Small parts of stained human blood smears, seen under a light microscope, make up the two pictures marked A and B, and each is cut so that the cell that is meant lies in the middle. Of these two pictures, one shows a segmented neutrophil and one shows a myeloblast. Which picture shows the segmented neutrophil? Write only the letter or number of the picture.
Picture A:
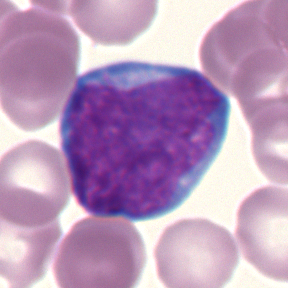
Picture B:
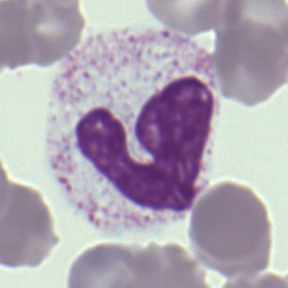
B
